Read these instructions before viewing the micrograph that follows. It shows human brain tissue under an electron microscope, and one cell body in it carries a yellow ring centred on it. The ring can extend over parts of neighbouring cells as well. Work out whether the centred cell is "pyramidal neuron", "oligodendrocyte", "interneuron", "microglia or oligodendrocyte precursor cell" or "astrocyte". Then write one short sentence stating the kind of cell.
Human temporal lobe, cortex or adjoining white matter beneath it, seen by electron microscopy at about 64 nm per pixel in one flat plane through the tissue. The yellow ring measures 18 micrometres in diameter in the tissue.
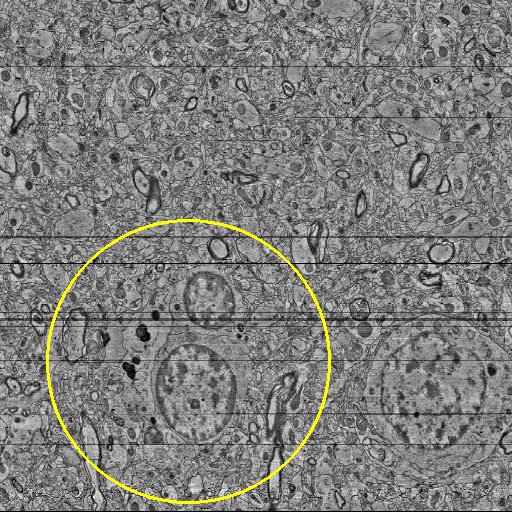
The ringed cell is an oligodendrocyte.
